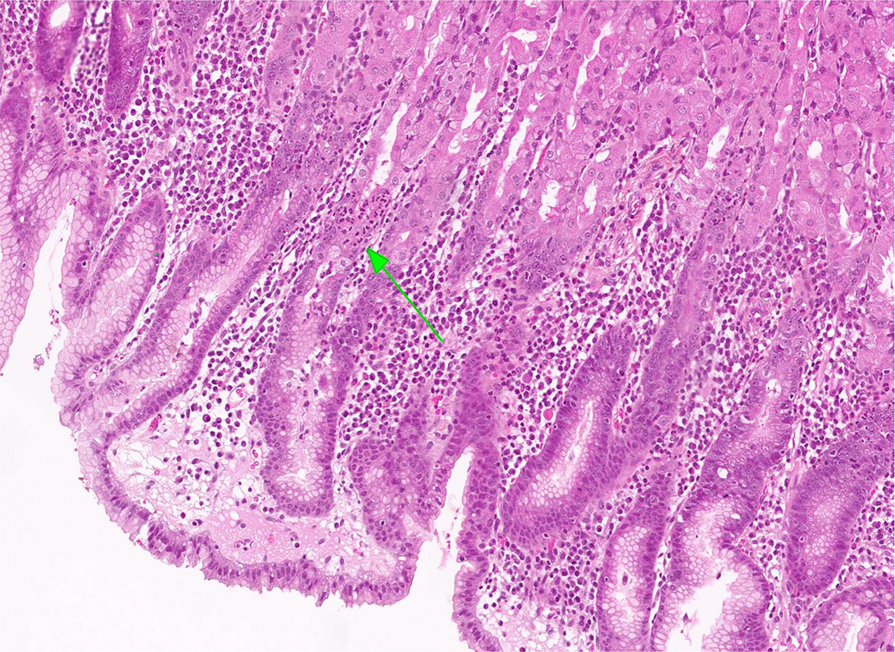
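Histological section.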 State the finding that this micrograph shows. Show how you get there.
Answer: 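Non-atrophic chronic gastritis. The lamina propria between the pits and glands is densely packed with small round inflammatory cells. Surface foveolar epithelium with pale mucin lines the pits. Deeper glands with large pink cells are still present, not lost.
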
